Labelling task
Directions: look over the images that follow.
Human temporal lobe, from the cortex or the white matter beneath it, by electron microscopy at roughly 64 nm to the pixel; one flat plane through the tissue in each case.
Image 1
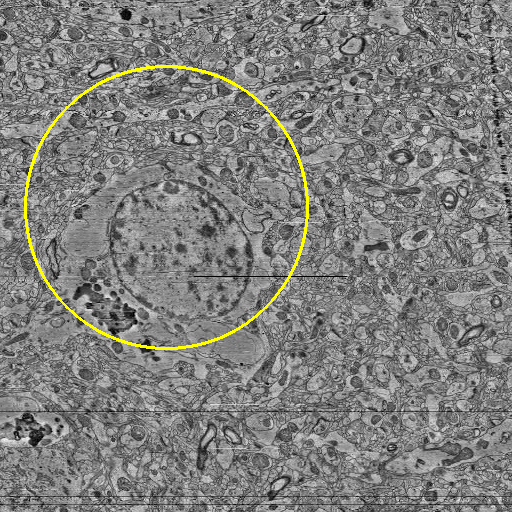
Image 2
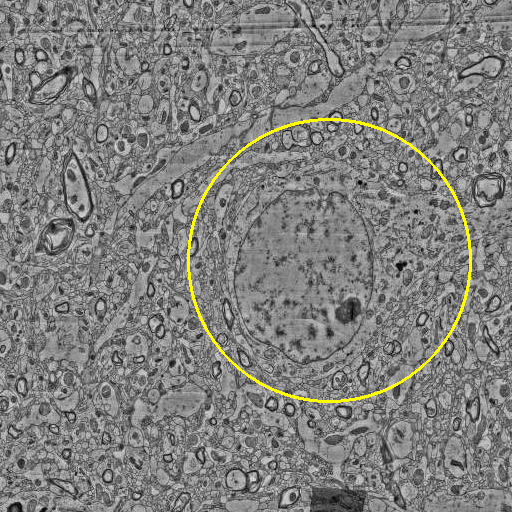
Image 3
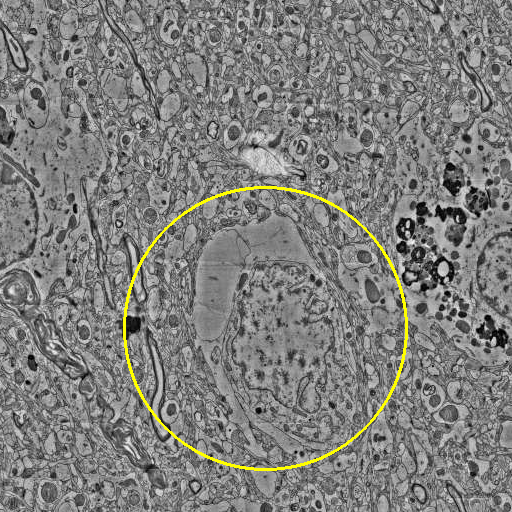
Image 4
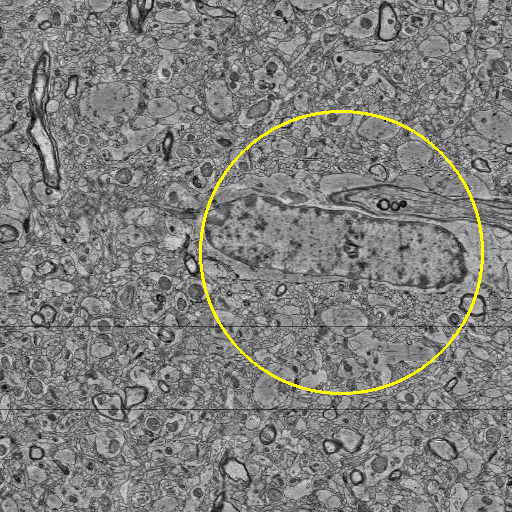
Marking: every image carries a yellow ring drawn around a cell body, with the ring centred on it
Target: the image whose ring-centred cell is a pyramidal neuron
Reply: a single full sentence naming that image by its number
The requested cell sits at the ring's centre in Image 2.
